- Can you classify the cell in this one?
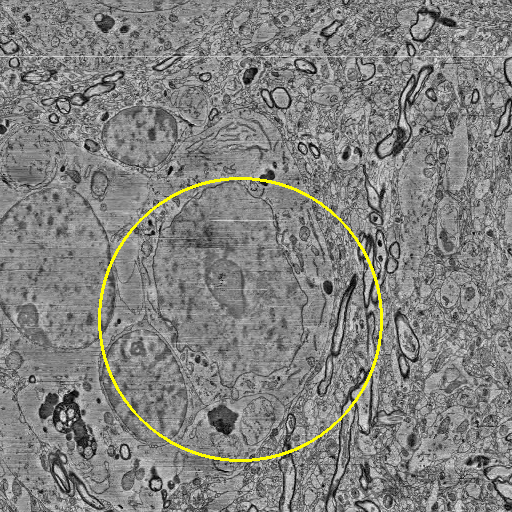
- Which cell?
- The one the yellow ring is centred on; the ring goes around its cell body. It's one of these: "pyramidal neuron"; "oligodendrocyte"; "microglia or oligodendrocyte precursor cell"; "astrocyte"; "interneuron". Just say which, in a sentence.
The cell body in the ring belongs to a pyramidal neuron.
